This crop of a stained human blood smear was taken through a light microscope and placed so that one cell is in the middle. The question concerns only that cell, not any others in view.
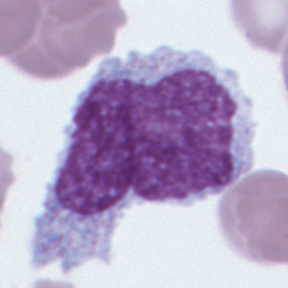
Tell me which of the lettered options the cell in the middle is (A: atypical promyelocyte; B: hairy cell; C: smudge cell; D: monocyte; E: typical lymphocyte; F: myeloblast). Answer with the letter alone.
D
